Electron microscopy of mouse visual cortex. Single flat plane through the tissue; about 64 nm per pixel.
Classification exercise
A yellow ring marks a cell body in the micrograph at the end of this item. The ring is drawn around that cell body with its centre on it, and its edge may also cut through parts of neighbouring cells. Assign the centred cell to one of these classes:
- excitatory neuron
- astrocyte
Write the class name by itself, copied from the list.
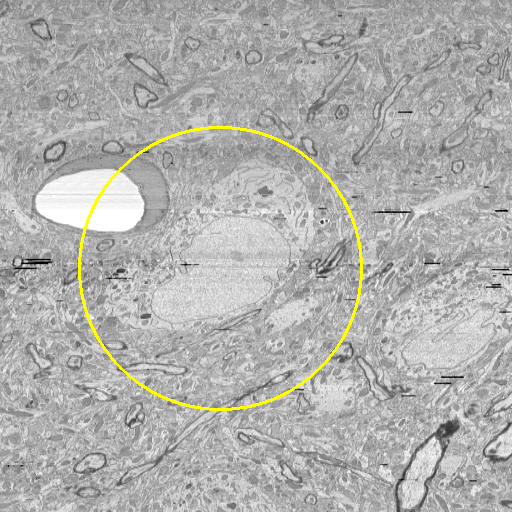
excitatory neuron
